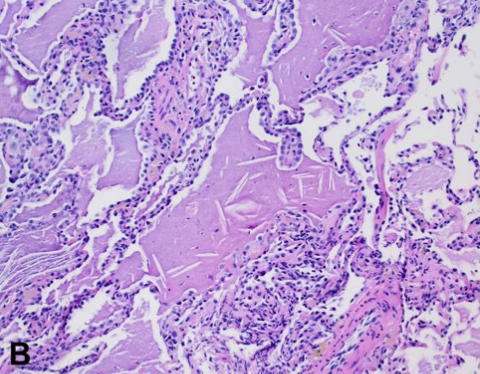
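Lung tissue in which the alveolar spaces are filled with pale pink, amorphous material outlined by thin alveolar septa. Within the pink material lie numerous slender, empty, needle-shaped cholesterol clefts.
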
